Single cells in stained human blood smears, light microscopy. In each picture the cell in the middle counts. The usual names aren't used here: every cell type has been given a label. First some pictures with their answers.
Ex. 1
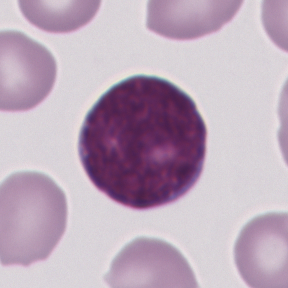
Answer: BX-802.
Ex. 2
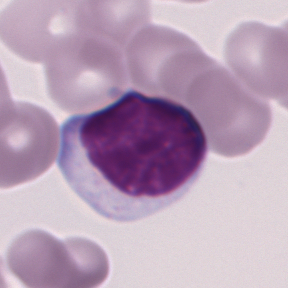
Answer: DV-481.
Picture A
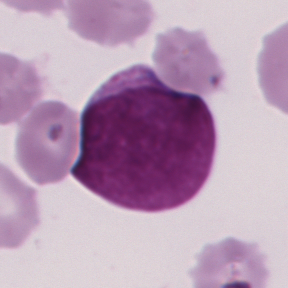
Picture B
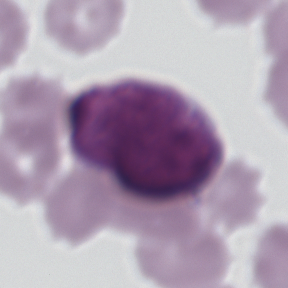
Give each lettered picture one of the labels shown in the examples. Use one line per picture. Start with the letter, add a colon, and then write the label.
A: BX-802.
B: BX-802.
